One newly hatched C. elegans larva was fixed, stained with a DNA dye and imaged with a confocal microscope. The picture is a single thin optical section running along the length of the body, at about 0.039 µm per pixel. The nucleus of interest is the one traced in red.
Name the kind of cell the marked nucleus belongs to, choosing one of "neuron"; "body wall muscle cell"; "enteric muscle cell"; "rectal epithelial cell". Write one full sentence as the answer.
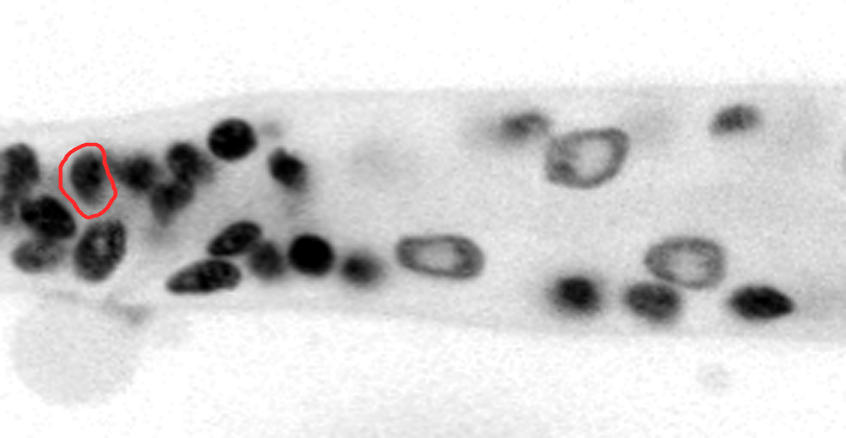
The nucleus comes from an enteric muscle cell.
